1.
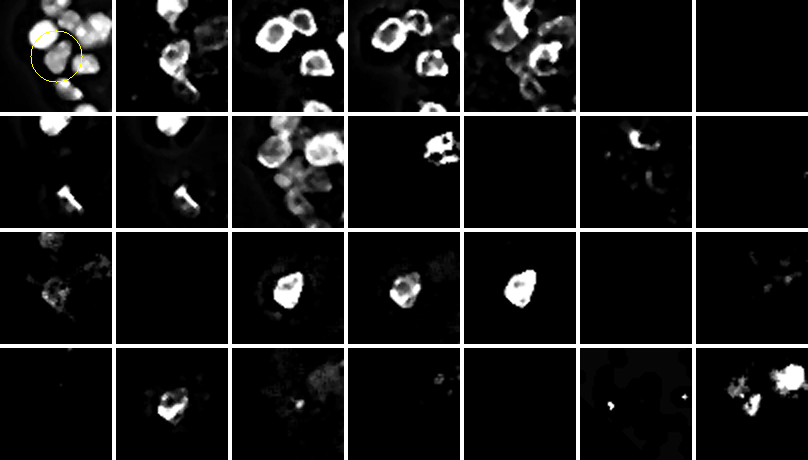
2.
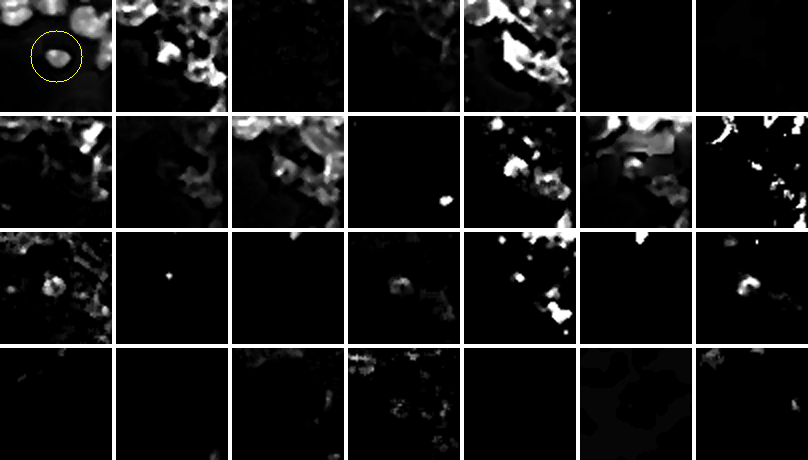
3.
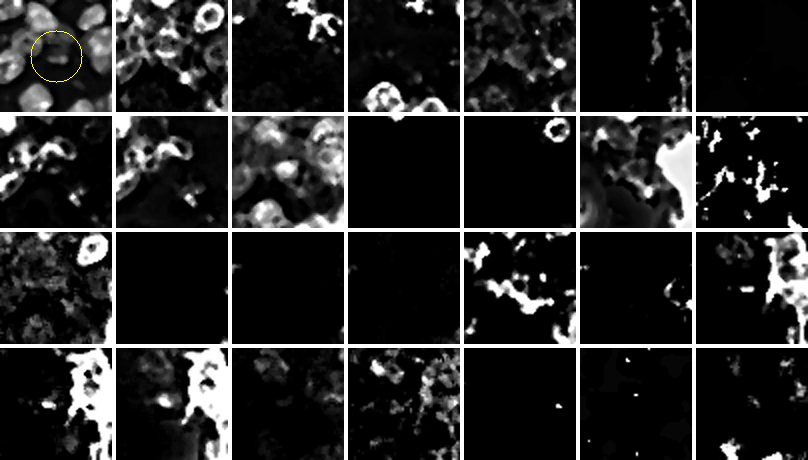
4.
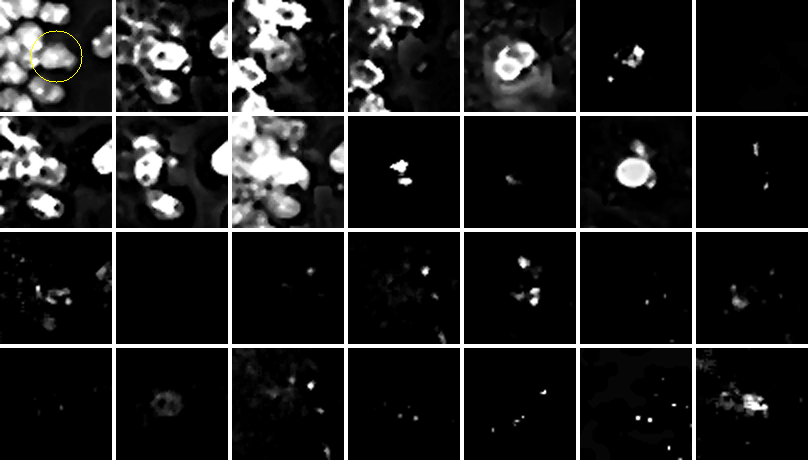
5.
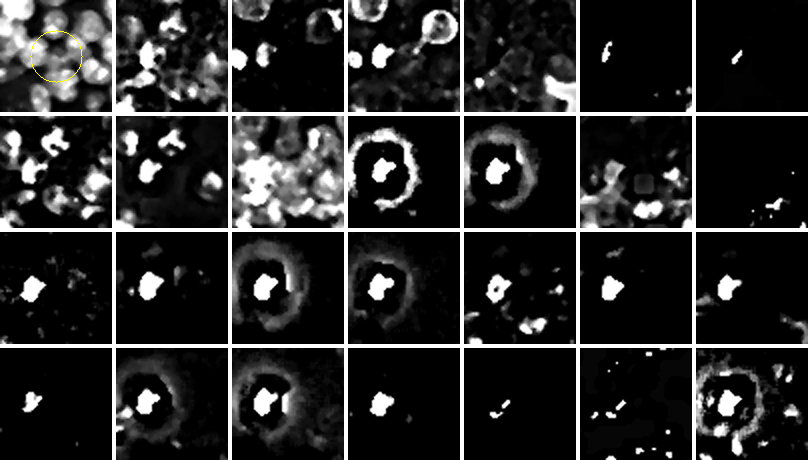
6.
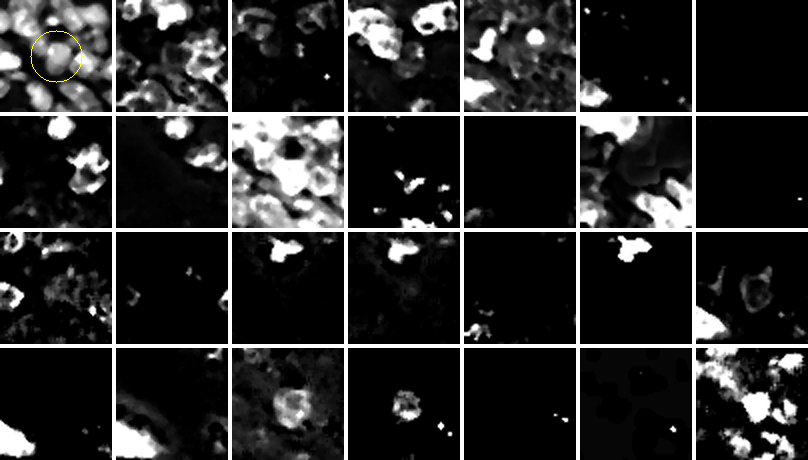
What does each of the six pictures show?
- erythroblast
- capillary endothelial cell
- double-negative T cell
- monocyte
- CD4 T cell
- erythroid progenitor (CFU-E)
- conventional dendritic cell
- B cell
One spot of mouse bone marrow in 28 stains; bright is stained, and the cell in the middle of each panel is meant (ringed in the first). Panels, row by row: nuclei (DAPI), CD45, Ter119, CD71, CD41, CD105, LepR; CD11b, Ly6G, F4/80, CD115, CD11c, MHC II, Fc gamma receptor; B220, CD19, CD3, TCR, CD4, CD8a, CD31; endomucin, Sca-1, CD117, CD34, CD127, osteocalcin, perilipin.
(1) CD4 T cell
(2) conventional dendritic cell
(3) capillary endothelial cell
(4) monocyte
(5) erythroid progenitor (CFU-E)
(6) erythroid progenitor (CFU-E)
